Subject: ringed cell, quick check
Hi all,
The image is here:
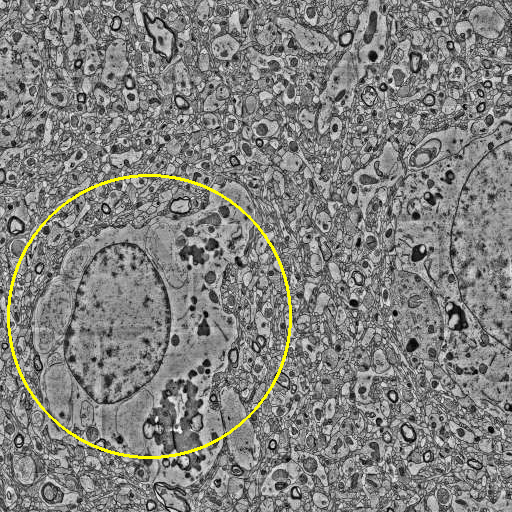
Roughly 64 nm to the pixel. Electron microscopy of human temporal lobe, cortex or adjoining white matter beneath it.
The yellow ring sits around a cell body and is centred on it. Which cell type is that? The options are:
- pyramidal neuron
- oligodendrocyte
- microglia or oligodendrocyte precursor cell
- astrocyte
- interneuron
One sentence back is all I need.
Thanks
That ringed cell is an astrocyte.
